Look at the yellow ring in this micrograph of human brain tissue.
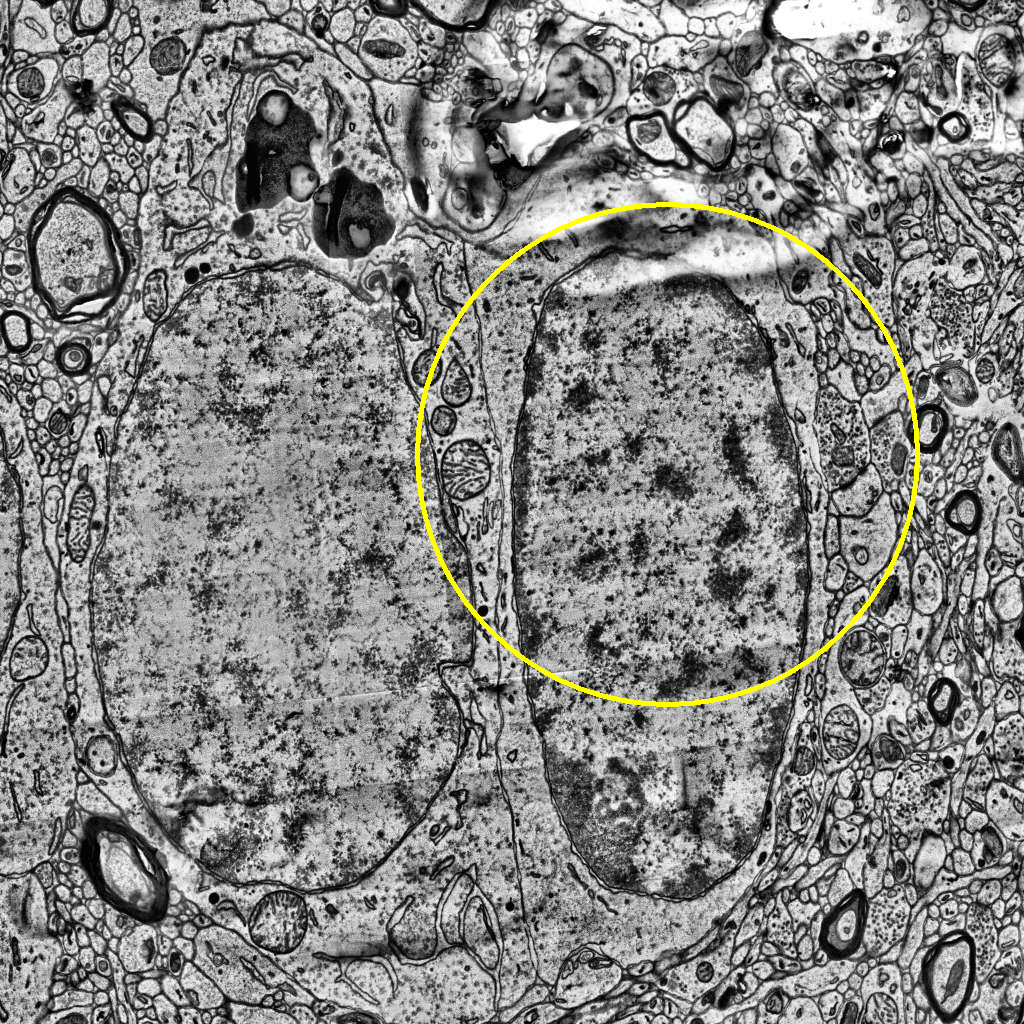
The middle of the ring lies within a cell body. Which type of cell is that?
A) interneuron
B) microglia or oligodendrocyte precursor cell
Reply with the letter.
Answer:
B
